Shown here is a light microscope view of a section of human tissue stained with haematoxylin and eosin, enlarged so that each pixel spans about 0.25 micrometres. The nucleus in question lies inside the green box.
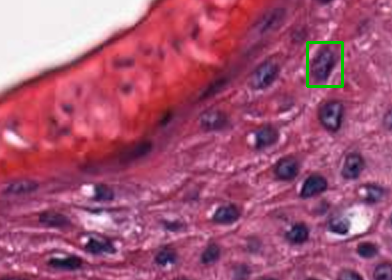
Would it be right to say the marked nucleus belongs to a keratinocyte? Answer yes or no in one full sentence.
Yes, a keratinocyte contains the marked nucleus.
